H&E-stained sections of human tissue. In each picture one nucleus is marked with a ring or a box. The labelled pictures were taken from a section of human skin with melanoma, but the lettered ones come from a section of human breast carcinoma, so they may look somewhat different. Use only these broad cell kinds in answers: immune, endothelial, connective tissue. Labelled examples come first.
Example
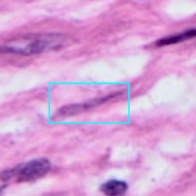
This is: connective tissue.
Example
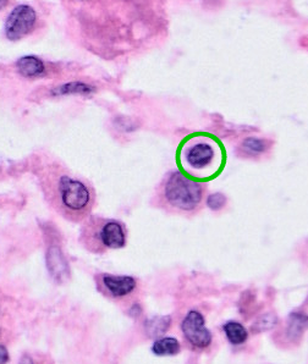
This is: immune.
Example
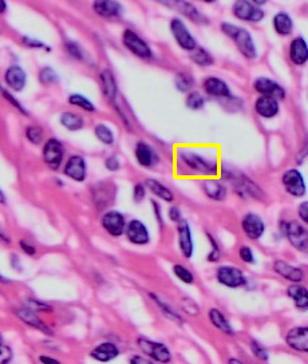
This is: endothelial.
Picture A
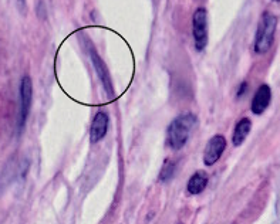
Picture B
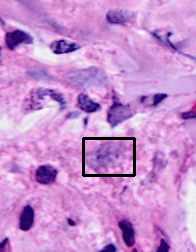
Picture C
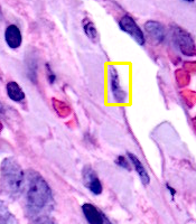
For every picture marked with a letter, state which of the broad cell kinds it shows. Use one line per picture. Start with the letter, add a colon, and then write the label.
A: connective tissue.
B: connective tissue.
C: connective tissue.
